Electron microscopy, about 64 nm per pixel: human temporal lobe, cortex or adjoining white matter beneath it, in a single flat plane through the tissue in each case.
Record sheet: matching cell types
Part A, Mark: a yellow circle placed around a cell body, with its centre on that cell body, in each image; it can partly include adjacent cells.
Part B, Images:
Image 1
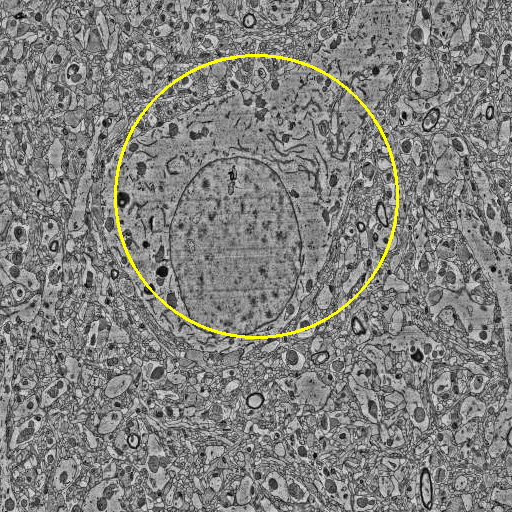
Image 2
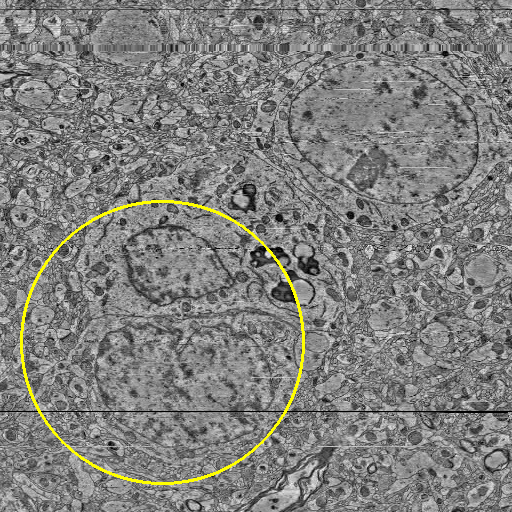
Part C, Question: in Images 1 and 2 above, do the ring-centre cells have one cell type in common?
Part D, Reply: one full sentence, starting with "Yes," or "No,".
No, the ring-centre cells of Image 1 and Image 2 are each of a separate cell type.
